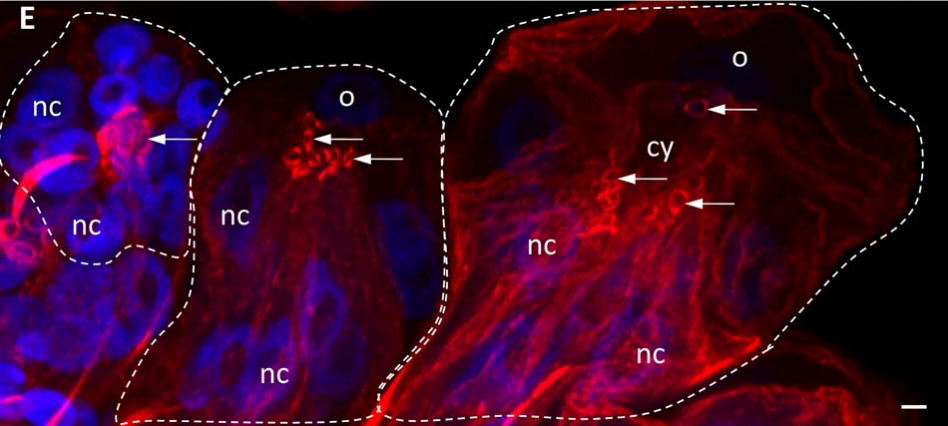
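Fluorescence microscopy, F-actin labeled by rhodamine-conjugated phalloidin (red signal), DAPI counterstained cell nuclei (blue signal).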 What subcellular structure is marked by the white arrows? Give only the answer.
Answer: Ring canals.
